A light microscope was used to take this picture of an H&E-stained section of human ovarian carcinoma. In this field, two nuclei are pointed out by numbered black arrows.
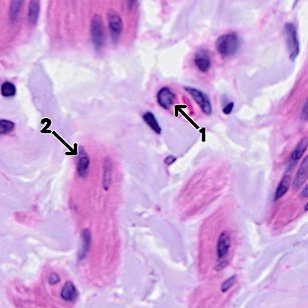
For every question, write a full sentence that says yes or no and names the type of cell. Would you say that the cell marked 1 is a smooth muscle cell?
No, instead of a smooth muscle cell, the cell with number 1 is an endothelial cell.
